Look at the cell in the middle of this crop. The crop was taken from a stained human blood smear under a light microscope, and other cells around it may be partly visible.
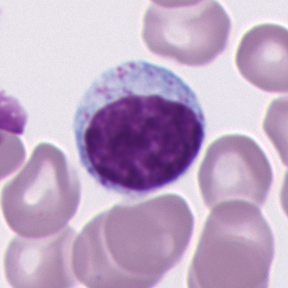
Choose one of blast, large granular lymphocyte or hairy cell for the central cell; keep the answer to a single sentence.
Positioned in the middle of the crop is a large granular lymphocyte.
